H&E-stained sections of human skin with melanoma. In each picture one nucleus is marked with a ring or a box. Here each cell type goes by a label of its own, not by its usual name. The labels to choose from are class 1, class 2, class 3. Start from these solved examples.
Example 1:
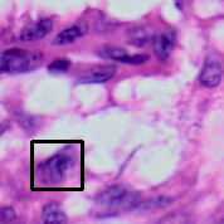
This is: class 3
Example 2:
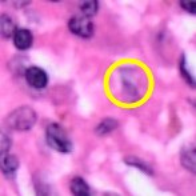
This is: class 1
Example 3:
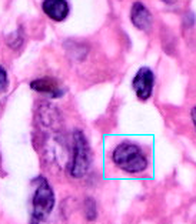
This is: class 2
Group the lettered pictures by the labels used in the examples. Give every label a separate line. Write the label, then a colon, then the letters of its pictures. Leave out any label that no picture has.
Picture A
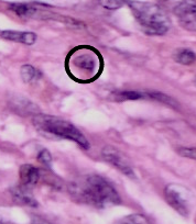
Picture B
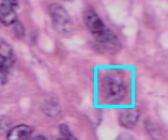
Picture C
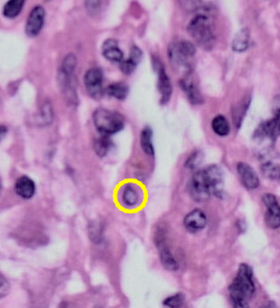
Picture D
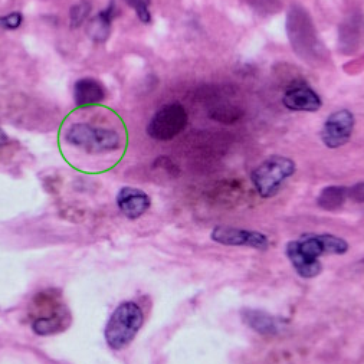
class 2: A, C, D
class 3: B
